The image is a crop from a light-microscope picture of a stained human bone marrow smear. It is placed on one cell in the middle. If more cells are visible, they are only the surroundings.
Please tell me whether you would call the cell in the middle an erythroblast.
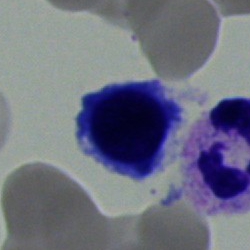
yes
